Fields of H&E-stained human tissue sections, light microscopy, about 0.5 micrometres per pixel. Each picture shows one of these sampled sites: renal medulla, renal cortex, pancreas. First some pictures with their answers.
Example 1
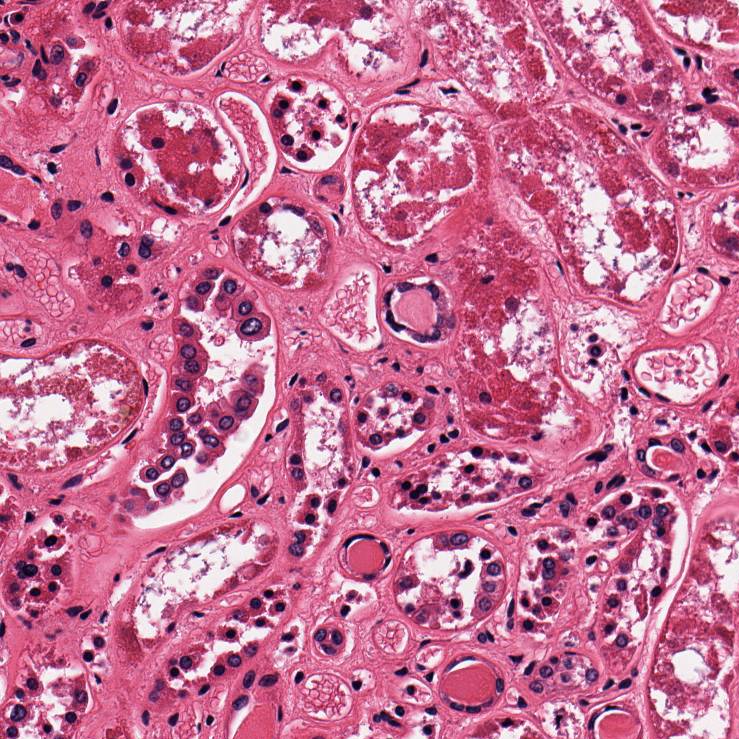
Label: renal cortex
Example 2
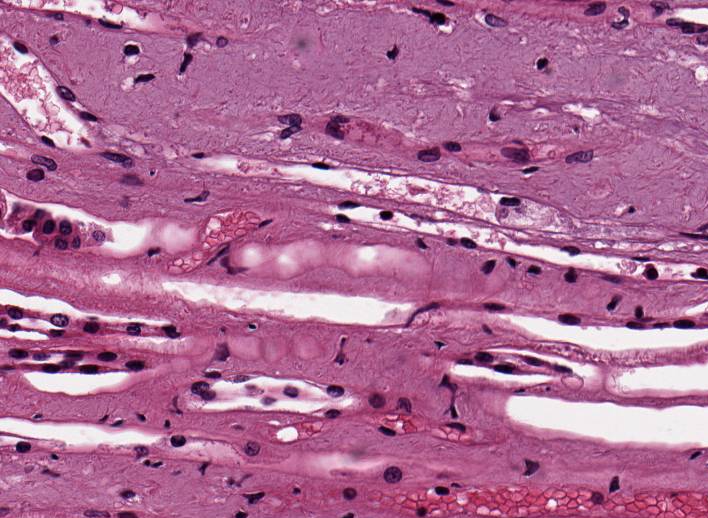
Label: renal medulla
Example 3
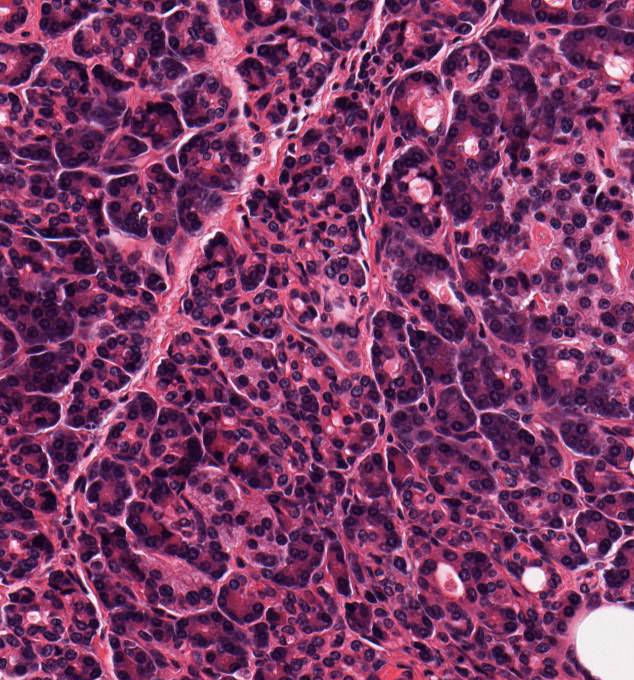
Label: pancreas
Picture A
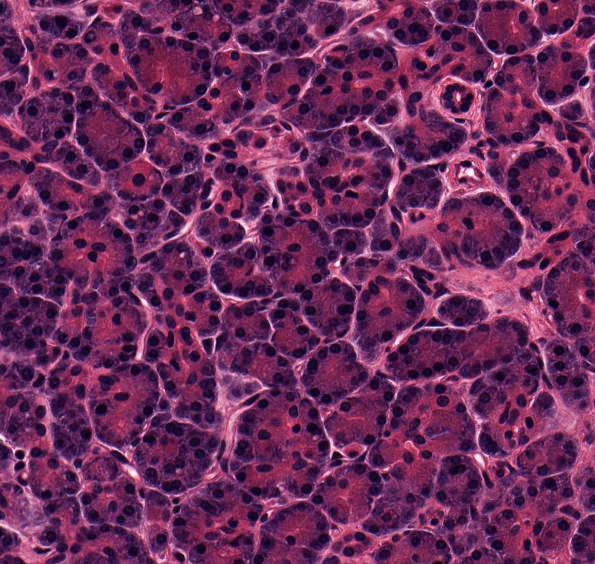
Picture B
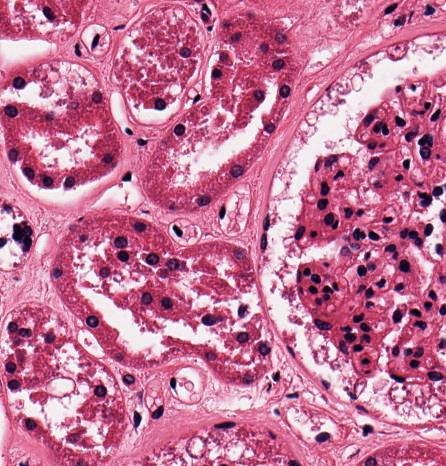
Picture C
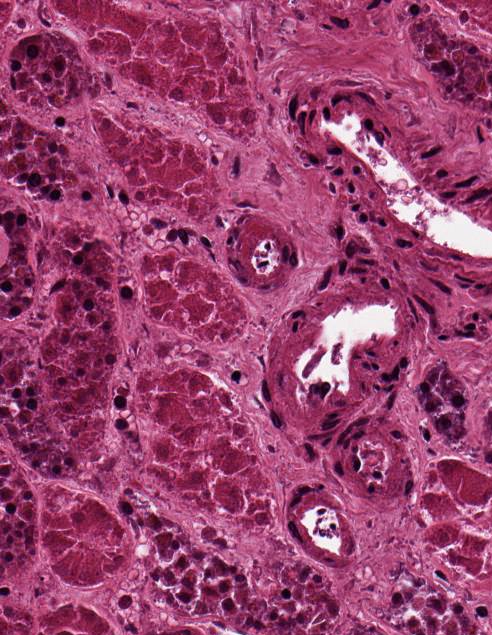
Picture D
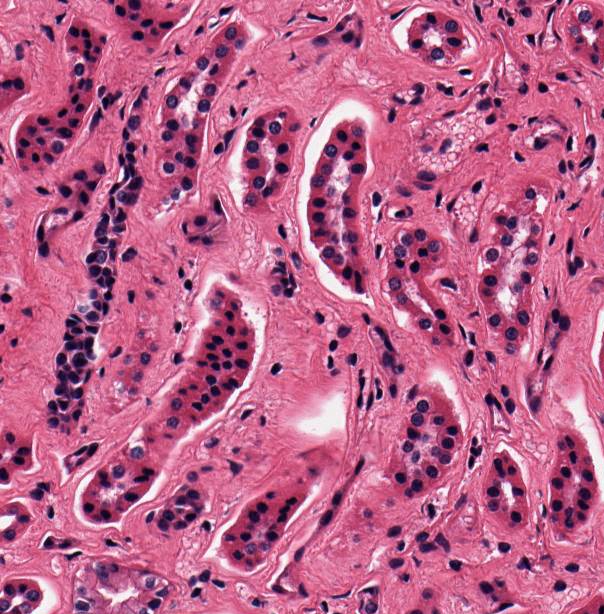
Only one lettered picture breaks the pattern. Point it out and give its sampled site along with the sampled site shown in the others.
Exception: A, showing pancreas. Remaining pictures: renal medulla.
